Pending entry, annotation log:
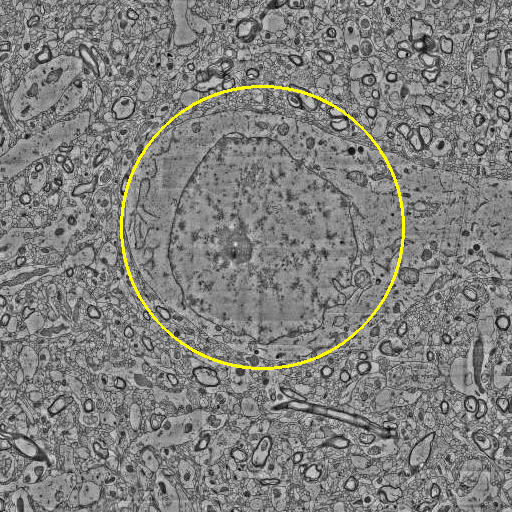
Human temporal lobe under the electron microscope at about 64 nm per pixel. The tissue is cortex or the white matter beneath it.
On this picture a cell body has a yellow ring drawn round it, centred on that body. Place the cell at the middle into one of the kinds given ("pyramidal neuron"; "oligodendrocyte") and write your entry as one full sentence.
The cell body at the middle of the yellow ring belongs to a pyramidal neuron.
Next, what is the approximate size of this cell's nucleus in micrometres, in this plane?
The ringed cell's nucleus is about 13 micrometres across in this plane.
